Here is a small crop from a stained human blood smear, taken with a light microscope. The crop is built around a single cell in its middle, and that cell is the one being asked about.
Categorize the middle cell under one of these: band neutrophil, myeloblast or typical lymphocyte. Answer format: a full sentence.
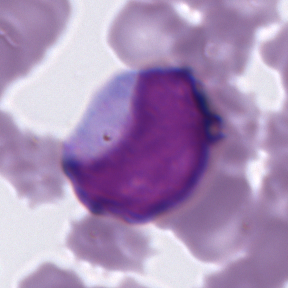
Answering briefly, the cell in the middle is a myeloblast.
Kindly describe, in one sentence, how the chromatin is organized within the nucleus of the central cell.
The key point is fine chromatin with no coarse clumps.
